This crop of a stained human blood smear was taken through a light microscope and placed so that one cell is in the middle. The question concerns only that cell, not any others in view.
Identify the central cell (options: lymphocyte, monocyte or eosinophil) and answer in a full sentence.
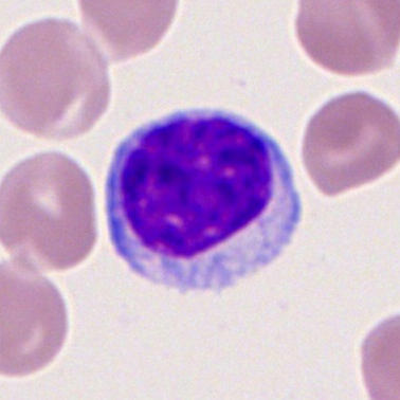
The cell the crop is centered on is a lymphocyte.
